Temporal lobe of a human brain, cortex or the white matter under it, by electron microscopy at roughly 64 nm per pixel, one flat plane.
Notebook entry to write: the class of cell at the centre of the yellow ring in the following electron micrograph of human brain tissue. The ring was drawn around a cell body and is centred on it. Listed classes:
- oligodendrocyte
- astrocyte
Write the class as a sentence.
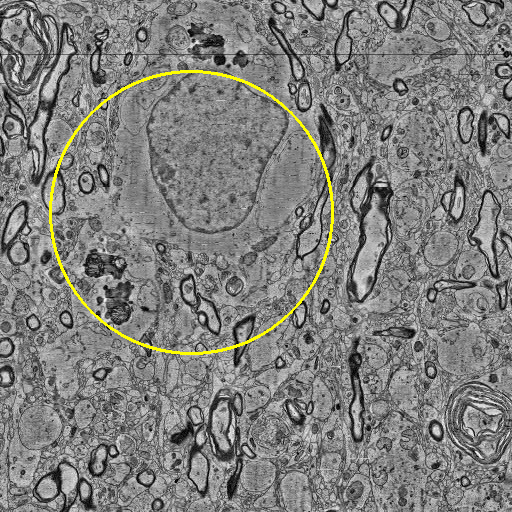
The yellow ring sits on an astrocyte.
